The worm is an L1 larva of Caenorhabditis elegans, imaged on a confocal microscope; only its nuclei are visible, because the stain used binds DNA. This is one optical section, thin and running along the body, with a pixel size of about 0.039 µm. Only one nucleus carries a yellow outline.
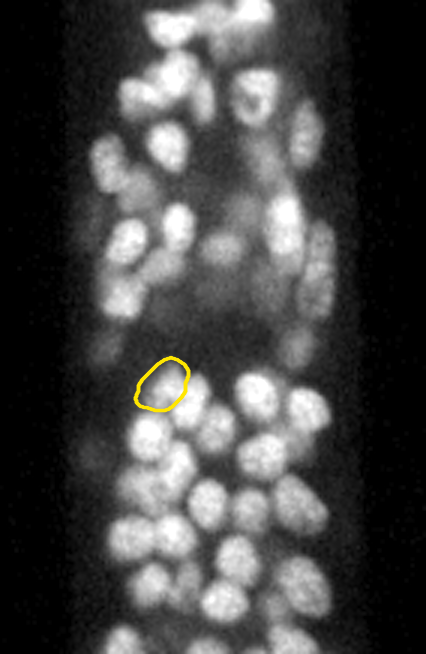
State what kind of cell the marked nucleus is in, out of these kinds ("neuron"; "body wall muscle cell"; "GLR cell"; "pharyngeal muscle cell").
GLR cell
